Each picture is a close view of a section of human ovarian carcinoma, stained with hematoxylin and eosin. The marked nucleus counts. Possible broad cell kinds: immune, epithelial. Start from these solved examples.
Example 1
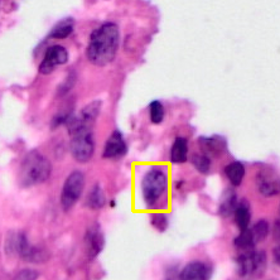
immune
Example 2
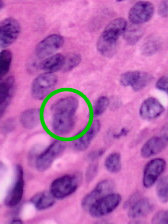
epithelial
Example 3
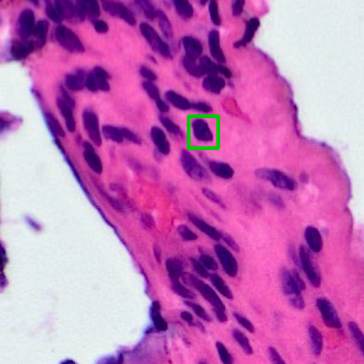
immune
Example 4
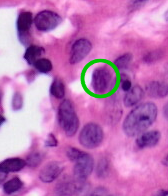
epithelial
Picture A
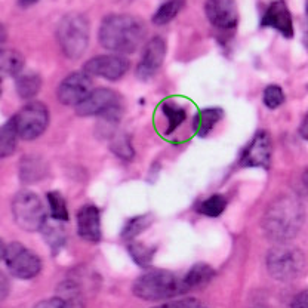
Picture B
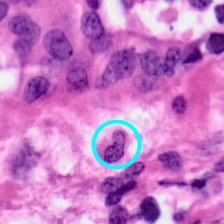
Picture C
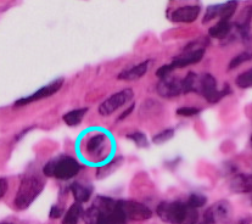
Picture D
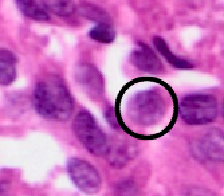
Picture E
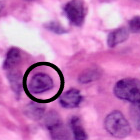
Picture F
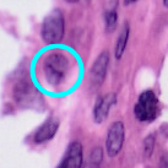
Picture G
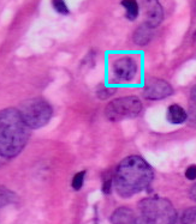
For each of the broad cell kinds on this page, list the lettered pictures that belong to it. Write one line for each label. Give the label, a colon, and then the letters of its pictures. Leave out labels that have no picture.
immune: A, B, C, E, F, G
epithelial: D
